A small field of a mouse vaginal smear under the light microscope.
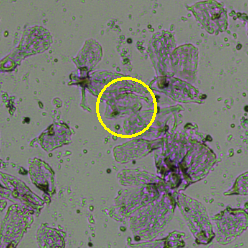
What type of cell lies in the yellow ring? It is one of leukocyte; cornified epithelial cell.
The ringed cell is a cornified epithelial cell.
